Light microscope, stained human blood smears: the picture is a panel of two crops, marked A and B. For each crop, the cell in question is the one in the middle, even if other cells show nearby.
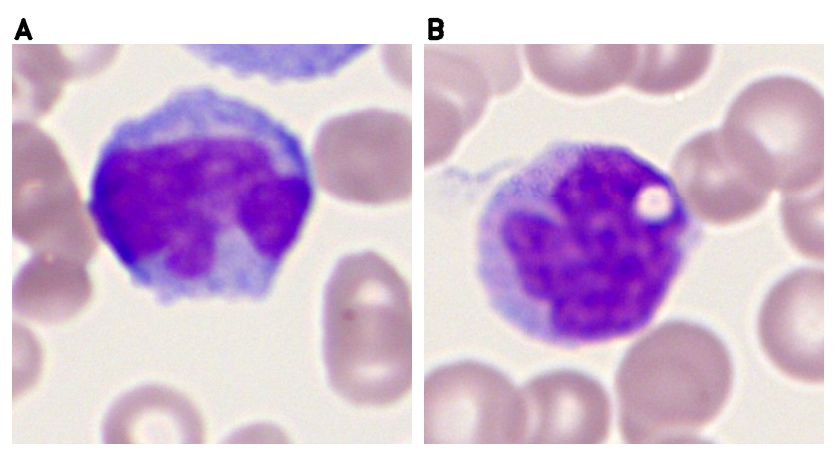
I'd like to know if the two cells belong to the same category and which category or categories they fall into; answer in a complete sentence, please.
Yes, the crops both have monocytes in the middle.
